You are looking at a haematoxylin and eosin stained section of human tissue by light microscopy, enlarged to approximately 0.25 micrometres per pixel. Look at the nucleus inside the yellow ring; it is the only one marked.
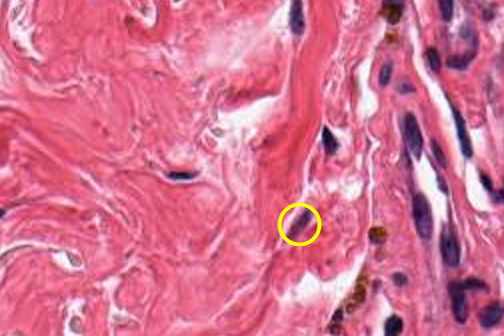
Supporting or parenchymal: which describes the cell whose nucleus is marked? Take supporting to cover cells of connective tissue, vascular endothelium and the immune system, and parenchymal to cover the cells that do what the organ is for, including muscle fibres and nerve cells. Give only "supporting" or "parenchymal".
supporting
